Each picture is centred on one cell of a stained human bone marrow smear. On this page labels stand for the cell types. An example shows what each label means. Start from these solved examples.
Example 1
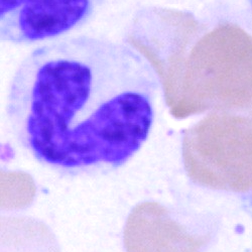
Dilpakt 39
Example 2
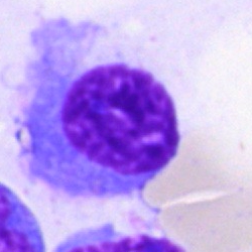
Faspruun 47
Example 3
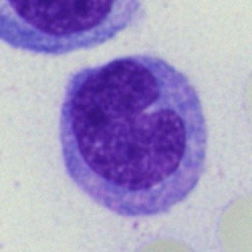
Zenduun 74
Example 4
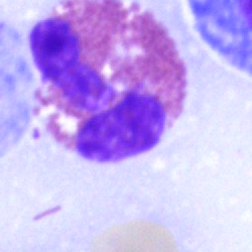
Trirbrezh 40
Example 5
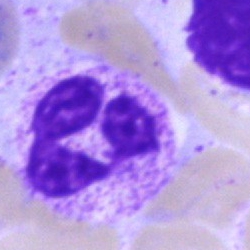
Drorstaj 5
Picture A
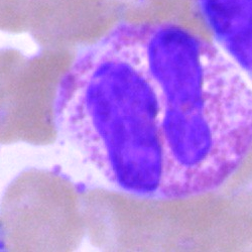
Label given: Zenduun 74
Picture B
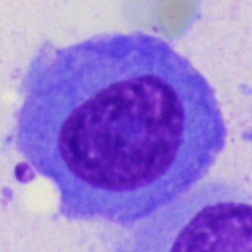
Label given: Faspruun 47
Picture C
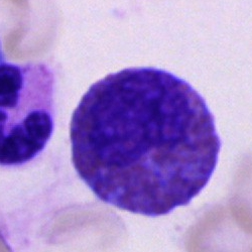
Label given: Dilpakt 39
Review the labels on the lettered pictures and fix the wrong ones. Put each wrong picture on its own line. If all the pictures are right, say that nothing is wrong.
A: not Zenduun 74 but Trirbrezh 40
C: not Dilpakt 39 but Trirbrezh 40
